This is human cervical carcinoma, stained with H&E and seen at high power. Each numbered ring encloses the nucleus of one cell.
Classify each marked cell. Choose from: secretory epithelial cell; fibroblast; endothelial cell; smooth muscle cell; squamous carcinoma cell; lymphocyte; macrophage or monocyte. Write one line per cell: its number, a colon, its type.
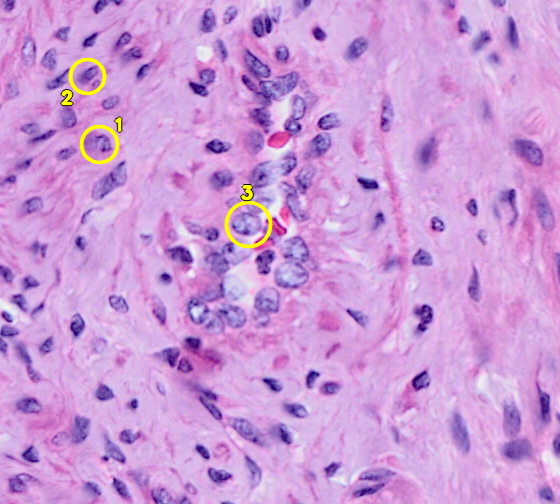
1: smooth muscle cell
2: smooth muscle cell
3: endothelial cell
